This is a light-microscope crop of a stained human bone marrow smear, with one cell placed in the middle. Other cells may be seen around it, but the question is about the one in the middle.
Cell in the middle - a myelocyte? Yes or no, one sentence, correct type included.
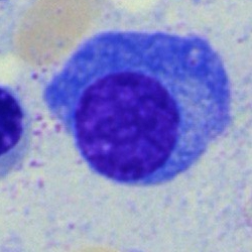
No, in this crop the middle cell is a plasma cell, not a myelocyte.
